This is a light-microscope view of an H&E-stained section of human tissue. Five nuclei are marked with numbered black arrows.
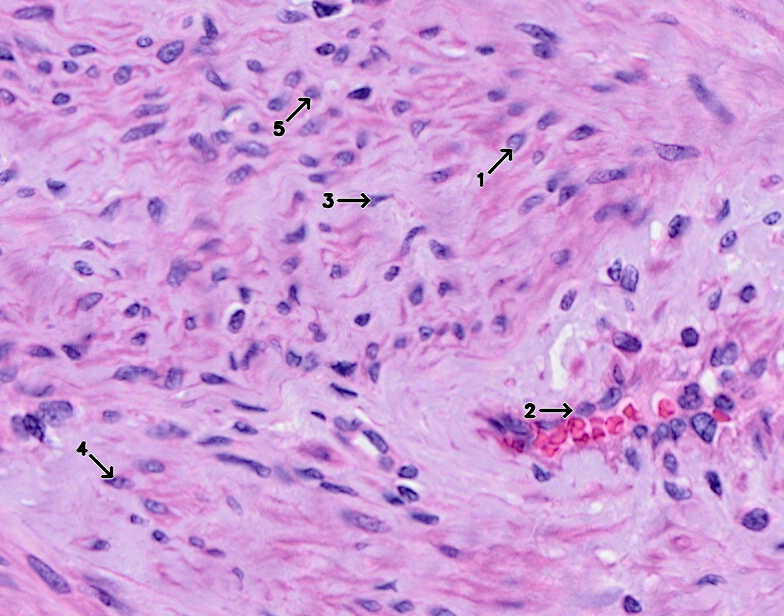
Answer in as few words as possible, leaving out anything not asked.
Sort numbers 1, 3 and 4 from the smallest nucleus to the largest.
3, 4, 1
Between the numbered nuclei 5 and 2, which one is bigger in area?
2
